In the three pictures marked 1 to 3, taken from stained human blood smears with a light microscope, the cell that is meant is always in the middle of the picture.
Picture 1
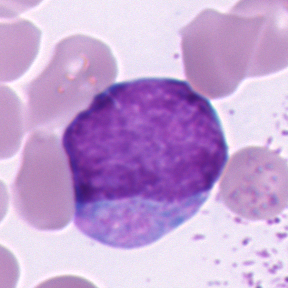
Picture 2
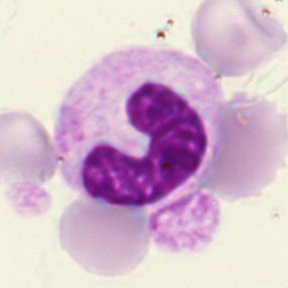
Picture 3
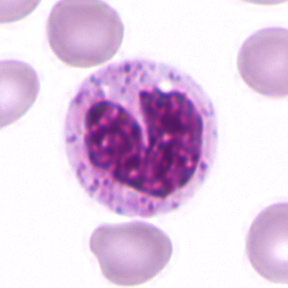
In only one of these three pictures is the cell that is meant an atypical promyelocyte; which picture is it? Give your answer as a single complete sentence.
Picture 1 is the one that shows the atypical promyelocyte.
